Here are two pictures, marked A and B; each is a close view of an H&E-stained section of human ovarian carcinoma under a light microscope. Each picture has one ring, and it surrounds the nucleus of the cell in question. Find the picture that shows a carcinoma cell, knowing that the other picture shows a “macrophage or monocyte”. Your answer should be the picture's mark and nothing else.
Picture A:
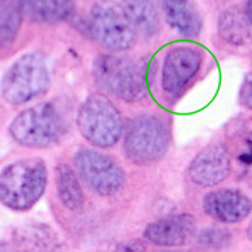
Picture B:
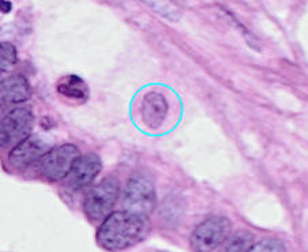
A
